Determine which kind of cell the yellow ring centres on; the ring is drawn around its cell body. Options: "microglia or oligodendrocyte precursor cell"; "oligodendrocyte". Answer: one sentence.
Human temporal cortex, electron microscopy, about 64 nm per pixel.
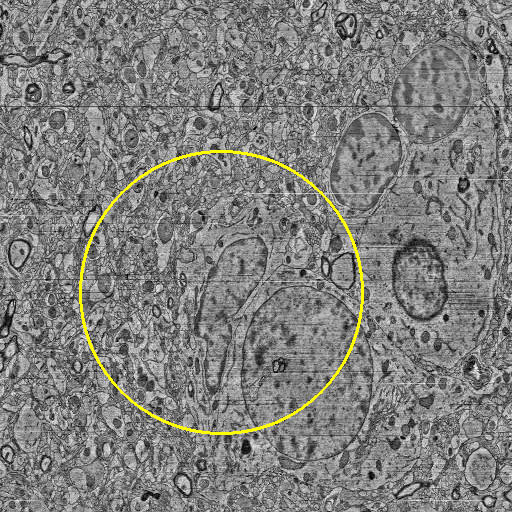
The ring centres on a microglial cell or oligodendrocyte precursor cell.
